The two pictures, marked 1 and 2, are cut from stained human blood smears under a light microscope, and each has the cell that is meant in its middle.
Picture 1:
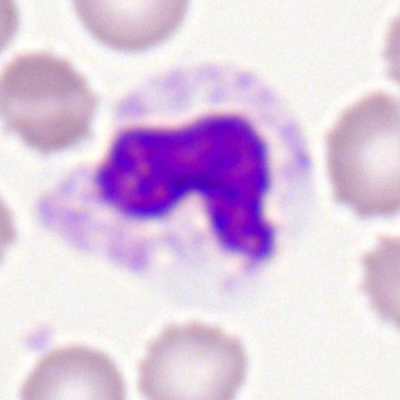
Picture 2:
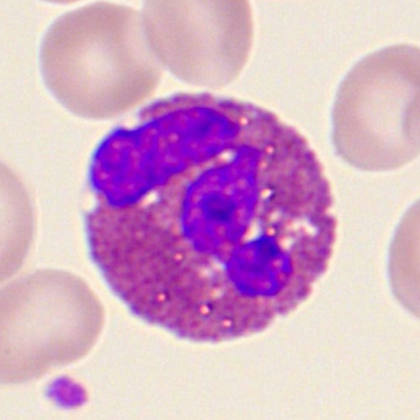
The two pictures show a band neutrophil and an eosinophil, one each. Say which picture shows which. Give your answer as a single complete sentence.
Picture 1 is of a band neutrophil, and picture 2 is of an eosinophil.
